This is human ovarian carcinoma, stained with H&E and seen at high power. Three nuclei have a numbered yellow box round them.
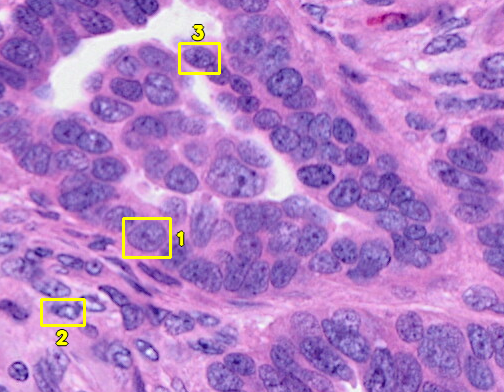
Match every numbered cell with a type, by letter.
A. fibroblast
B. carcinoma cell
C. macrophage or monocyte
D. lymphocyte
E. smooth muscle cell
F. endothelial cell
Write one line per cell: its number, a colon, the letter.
1: B
2: A
3: B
